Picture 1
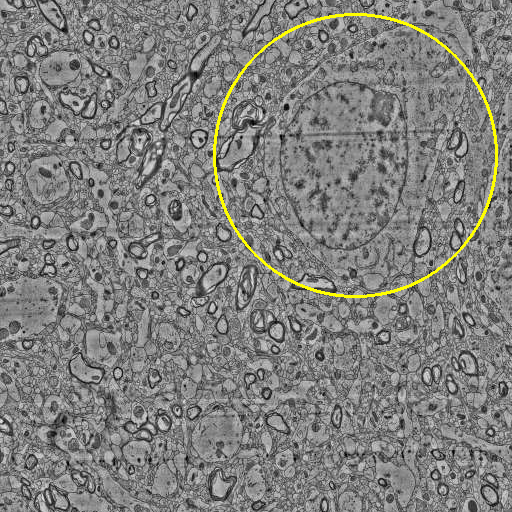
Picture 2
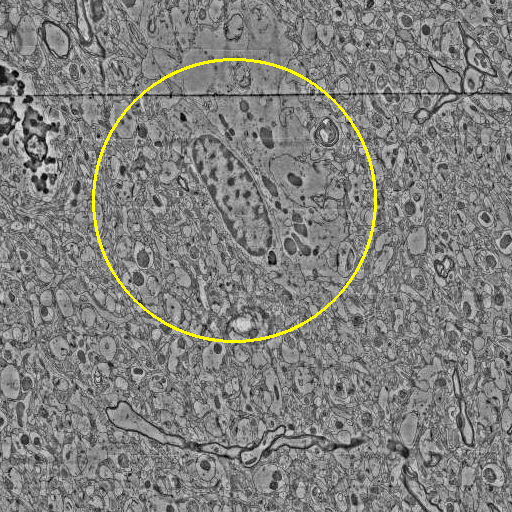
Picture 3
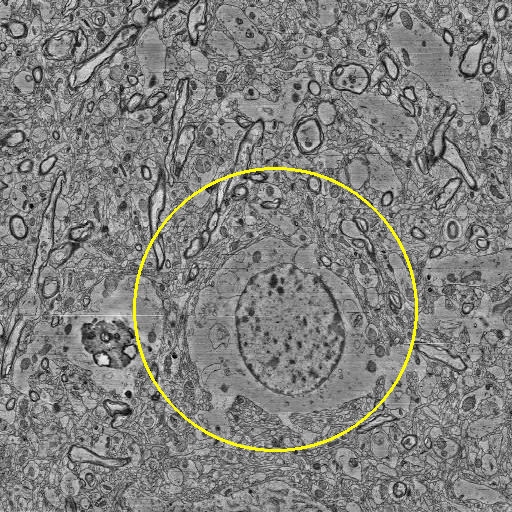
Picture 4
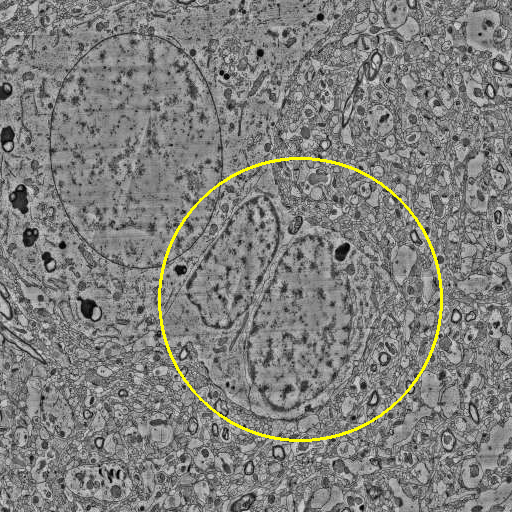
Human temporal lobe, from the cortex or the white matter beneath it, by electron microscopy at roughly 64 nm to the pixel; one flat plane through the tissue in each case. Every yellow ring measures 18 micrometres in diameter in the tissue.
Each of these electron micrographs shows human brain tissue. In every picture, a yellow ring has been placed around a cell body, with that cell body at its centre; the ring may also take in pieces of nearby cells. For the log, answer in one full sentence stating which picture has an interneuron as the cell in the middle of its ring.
In picture 4, the cell at the centre of the yellow ring is the requested one.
